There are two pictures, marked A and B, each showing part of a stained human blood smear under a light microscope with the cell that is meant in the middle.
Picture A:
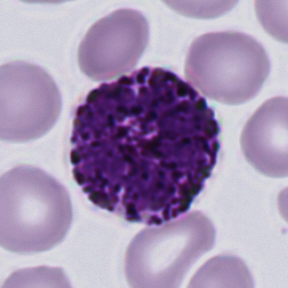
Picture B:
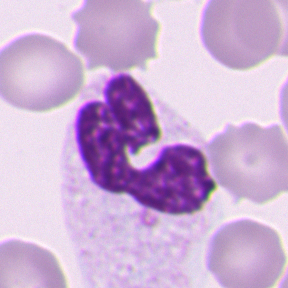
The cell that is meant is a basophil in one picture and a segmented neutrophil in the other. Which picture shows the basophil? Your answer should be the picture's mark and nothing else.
A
